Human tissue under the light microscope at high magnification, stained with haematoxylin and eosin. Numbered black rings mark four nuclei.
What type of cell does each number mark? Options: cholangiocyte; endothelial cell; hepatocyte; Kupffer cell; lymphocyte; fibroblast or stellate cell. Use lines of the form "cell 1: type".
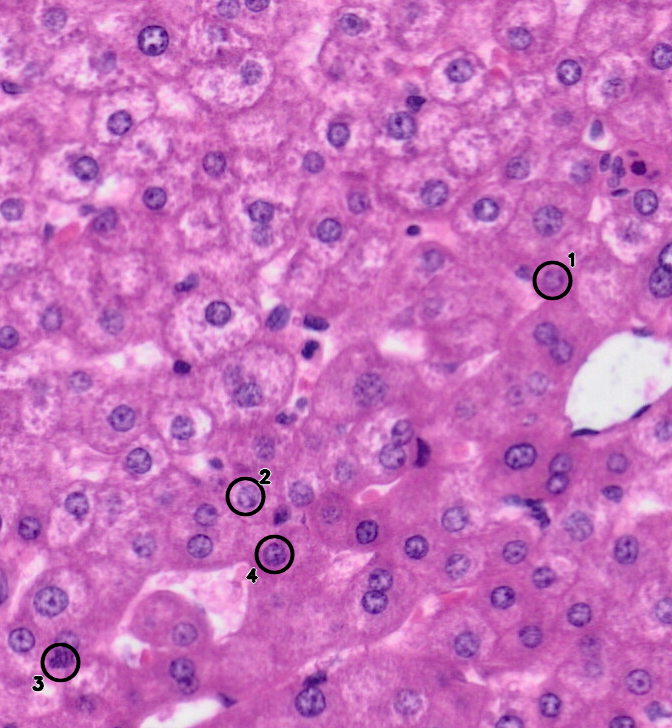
cell 1: hepatocyte
cell 2: hepatocyte
cell 3: fibroblast or stellate cell
cell 4: hepatocyte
